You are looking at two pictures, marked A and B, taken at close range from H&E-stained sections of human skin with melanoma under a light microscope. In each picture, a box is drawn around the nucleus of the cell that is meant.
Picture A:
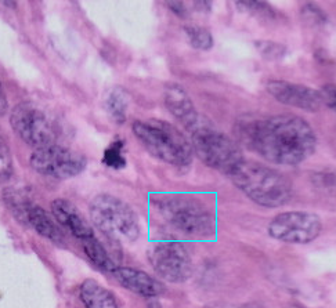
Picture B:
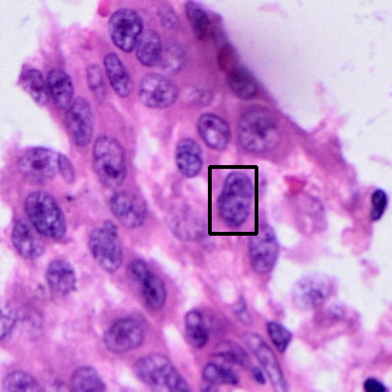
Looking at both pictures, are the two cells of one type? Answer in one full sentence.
Yes; the cells in both pictures are melanoma cells.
